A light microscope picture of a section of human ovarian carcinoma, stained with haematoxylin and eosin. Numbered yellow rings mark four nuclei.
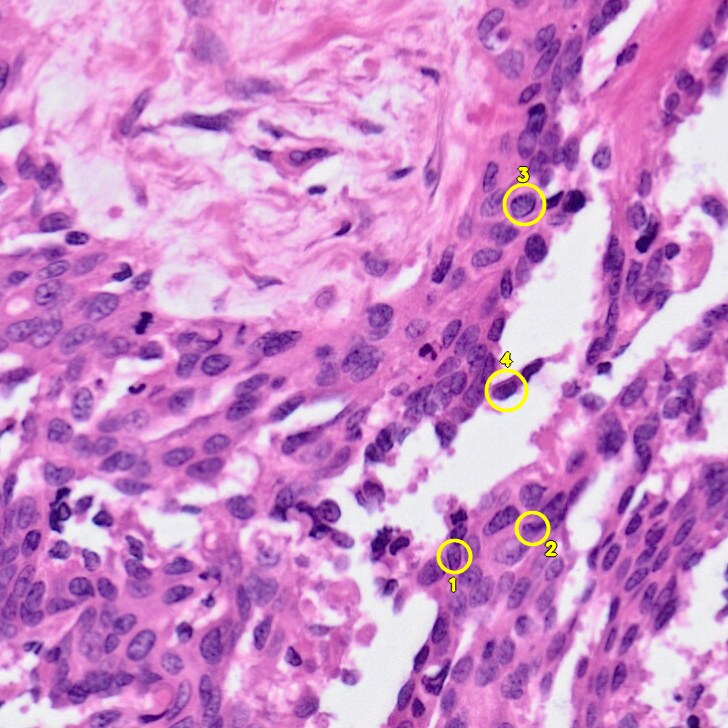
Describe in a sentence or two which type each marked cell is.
Cells 1, 2 and 4 are carcinoma cells. Cell 3 is a macrophage or monocyte.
